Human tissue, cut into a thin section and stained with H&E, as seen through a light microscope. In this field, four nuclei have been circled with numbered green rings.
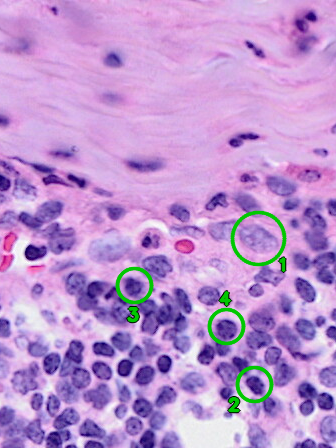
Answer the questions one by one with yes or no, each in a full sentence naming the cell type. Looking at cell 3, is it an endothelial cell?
No, it is not an endothelial cell that bears number 3 but a lymphocyte.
